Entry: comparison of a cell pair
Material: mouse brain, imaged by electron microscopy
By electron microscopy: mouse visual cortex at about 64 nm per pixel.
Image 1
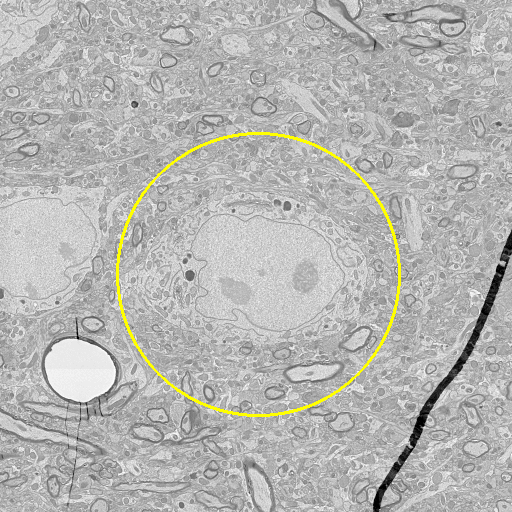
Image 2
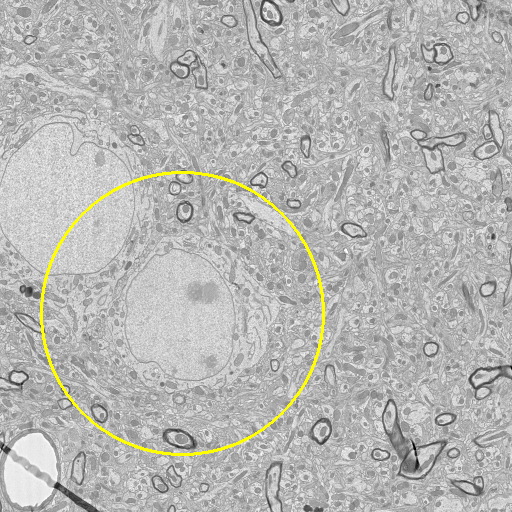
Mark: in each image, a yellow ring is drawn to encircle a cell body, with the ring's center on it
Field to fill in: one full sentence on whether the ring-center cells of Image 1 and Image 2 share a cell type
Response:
No, Image 1 and Image 2 show ring-center cells of two separate types.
